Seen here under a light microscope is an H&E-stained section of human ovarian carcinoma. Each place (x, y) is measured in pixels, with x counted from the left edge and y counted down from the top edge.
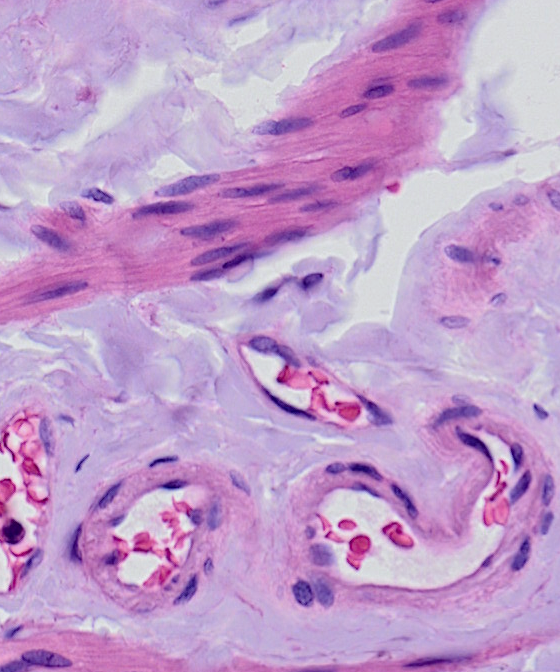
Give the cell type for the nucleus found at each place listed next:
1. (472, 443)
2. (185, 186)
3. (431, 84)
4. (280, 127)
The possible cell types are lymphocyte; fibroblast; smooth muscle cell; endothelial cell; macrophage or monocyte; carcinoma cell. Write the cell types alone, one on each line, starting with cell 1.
endothelial cell
smooth muscle cell
smooth muscle cell
smooth muscle cell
